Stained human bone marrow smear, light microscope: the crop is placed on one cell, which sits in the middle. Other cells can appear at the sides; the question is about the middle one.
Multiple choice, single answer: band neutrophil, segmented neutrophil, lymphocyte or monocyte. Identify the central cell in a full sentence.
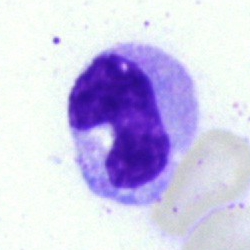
The middle of this crop holds a band neutrophil.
